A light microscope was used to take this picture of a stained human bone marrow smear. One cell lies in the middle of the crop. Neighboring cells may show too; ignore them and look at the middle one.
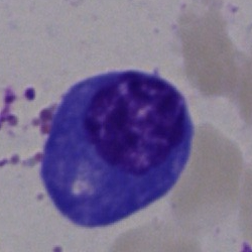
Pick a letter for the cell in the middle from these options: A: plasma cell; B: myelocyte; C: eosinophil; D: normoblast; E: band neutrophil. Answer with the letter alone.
A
